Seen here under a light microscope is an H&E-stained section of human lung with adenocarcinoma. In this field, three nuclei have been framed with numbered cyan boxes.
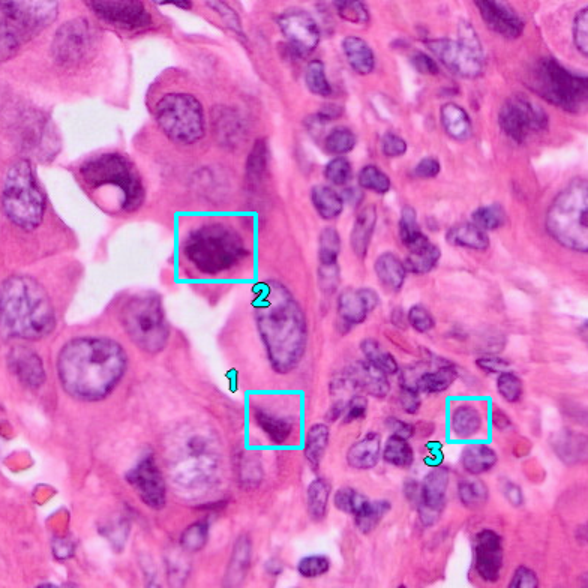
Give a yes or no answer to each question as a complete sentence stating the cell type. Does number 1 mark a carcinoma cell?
Yes, the cell sitting at number 1 is a carcinoma cell.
